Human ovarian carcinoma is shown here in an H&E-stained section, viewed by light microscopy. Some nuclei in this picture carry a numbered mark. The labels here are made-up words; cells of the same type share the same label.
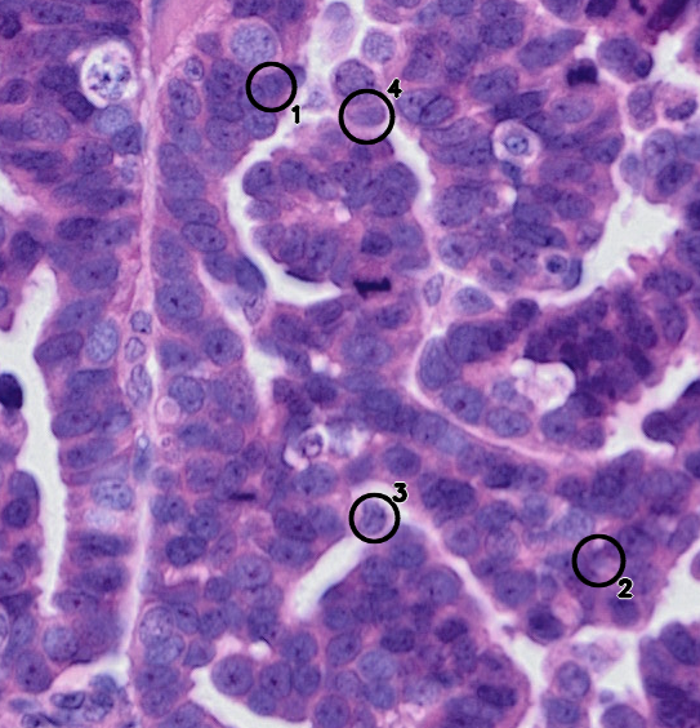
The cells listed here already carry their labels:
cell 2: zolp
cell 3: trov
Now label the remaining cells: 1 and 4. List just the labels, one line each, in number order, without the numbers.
zolp
zolp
